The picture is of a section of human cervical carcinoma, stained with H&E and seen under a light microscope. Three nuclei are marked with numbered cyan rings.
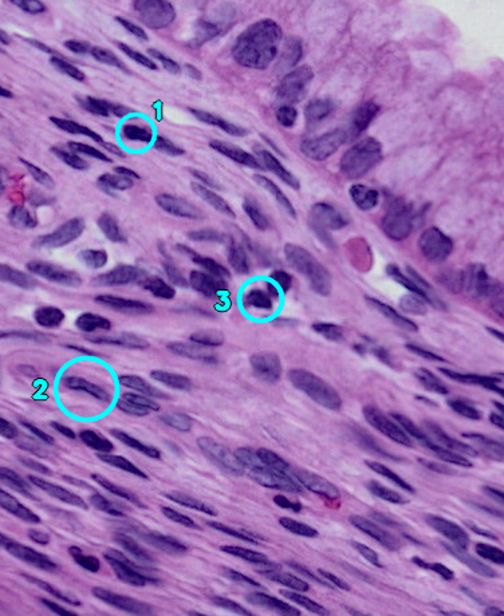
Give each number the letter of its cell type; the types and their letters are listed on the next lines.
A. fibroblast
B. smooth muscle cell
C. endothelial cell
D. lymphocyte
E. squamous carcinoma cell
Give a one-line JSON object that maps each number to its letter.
{"1": "D", "2": "C", "3": "D"}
